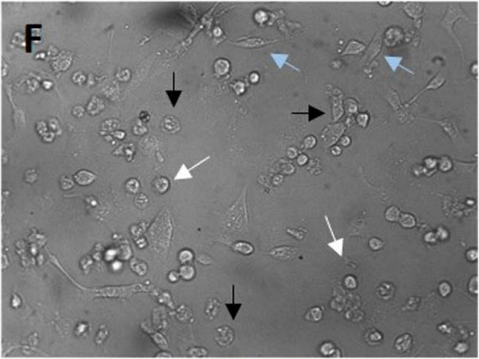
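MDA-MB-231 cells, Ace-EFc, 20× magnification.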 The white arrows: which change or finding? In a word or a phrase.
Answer: rounded shape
